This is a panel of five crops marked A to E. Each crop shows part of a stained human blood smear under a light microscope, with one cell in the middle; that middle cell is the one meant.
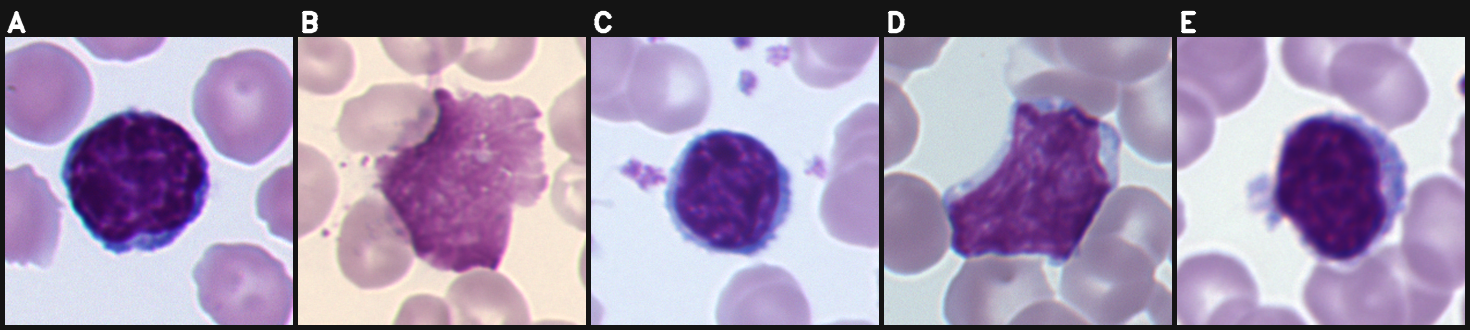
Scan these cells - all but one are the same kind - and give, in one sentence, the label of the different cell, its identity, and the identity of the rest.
Differing from the rest, crop B shows a smudge cell; the others all show typical lymphocytes.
